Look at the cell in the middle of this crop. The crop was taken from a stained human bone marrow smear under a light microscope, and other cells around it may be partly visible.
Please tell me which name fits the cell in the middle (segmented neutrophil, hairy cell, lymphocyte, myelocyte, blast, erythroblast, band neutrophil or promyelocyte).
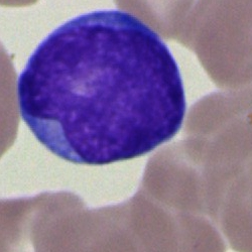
blast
